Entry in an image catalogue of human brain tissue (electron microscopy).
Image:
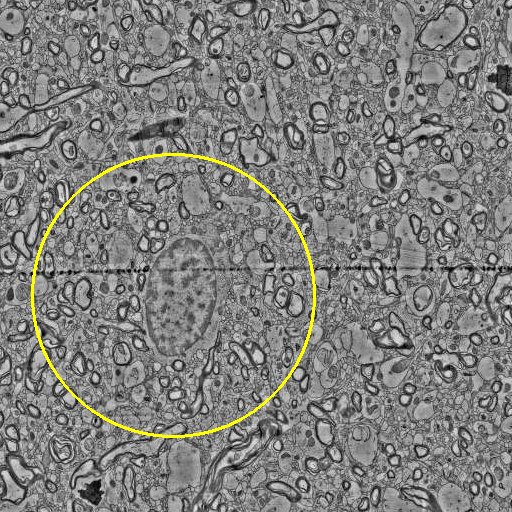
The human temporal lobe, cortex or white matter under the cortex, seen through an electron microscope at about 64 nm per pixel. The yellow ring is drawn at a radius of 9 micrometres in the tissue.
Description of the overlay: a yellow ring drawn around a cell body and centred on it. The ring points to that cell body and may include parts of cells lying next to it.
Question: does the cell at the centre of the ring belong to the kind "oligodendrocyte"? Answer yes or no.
yes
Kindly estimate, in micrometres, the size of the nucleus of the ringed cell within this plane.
In this plane the nucleus measures roughly 7 by 5 micrometres.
